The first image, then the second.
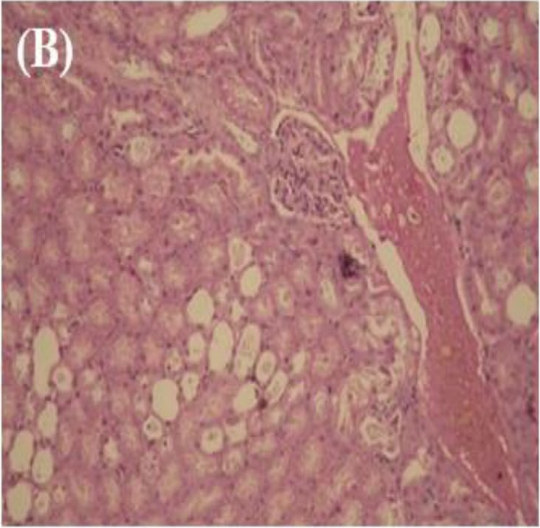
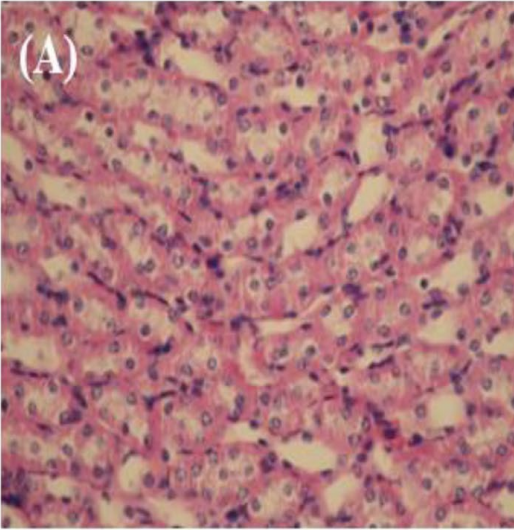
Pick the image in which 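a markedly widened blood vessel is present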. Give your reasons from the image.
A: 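The first image. Second image: closely packed tubules with no large vessel in view. First image: a wide, pink-filled vessel crosses the right part of the field beside a glomerulus.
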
